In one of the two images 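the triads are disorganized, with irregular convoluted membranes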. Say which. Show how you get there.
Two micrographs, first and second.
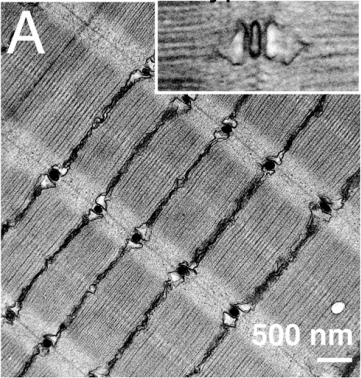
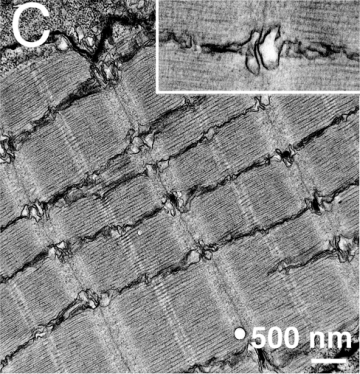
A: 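Second image: membranes at the sarcomere junctions are wavy, swollen and irregular, also in the inset. First image: compact dense profiles recur at regular intervals along the junction lines, and the inset shows a neat symmetric profile. On this evidence: the second image.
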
